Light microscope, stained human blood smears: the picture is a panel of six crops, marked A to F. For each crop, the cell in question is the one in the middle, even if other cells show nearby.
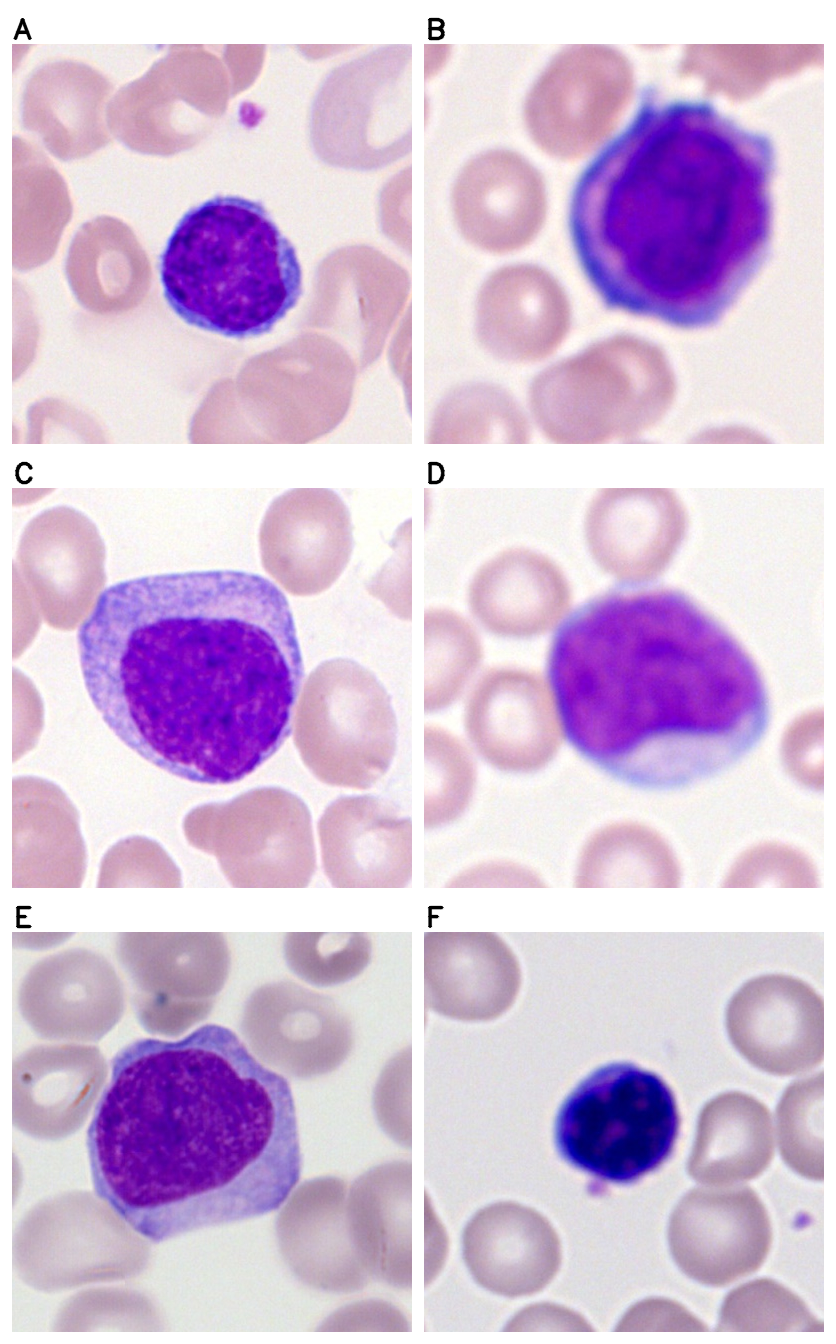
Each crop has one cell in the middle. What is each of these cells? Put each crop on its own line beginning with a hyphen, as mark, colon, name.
- A: lymphocyte
- B: myeloblast
- C: myeloblast
- D: myeloblast
- E: myeloblast
- F: lymphocyte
